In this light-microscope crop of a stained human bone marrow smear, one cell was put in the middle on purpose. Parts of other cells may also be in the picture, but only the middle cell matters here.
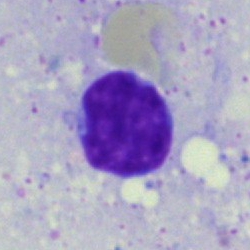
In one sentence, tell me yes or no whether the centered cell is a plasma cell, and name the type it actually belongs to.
No, it is a lymphocyte, not a plasma cell, that lies at the centre of the crop.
